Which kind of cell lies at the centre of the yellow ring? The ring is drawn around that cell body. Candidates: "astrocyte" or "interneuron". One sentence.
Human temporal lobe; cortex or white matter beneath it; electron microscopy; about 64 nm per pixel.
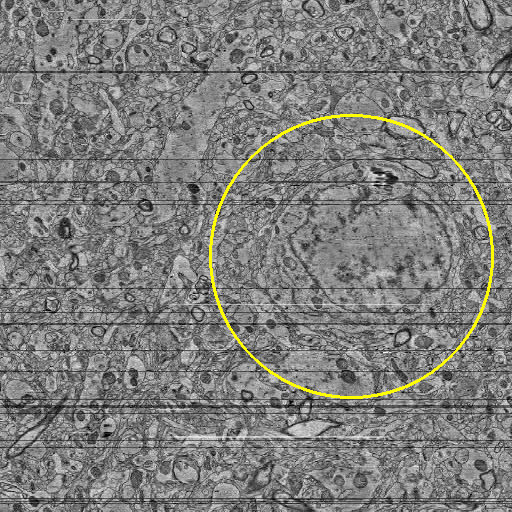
Lying at the centre of the ring is an interneuron.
